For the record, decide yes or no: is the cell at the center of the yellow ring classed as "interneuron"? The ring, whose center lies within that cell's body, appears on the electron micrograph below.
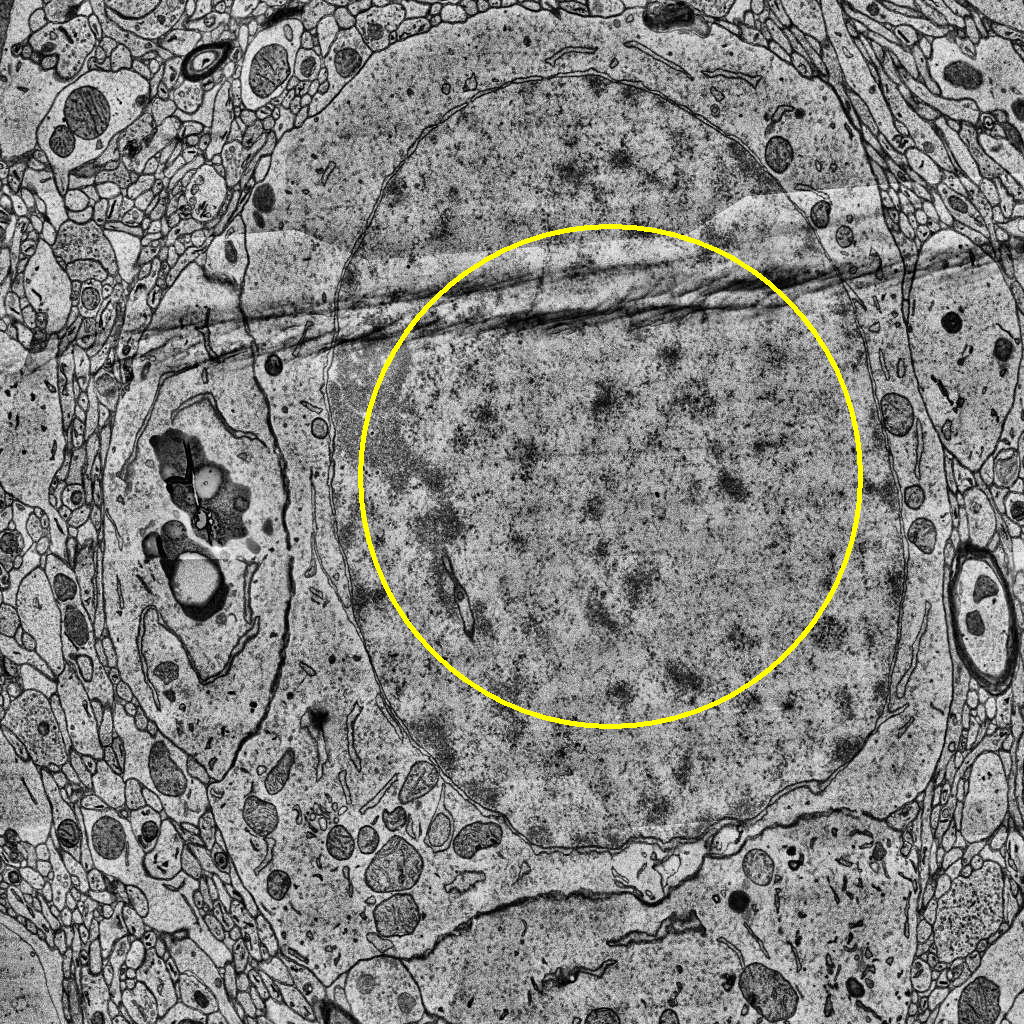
yes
